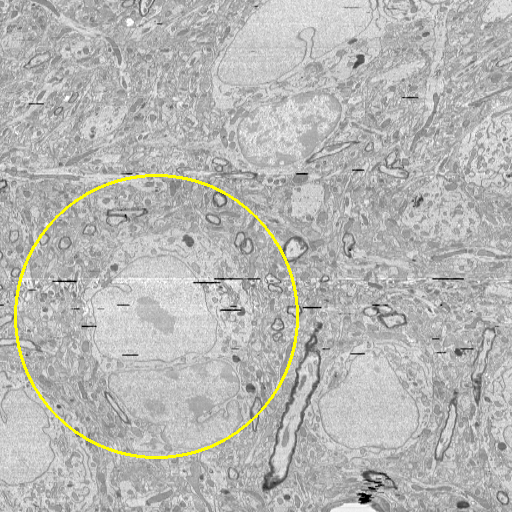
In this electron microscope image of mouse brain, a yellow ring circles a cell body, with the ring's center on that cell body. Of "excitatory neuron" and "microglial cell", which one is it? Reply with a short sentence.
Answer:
It is an excitatory neuron at the center of the ring.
